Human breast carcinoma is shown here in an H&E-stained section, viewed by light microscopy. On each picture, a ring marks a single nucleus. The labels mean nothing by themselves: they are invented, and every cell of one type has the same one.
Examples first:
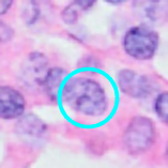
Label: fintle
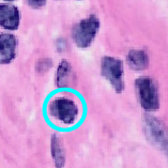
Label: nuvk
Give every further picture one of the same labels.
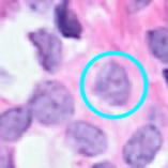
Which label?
fintle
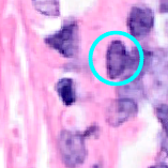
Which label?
fintle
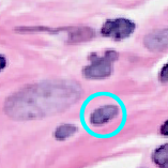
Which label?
nuvk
